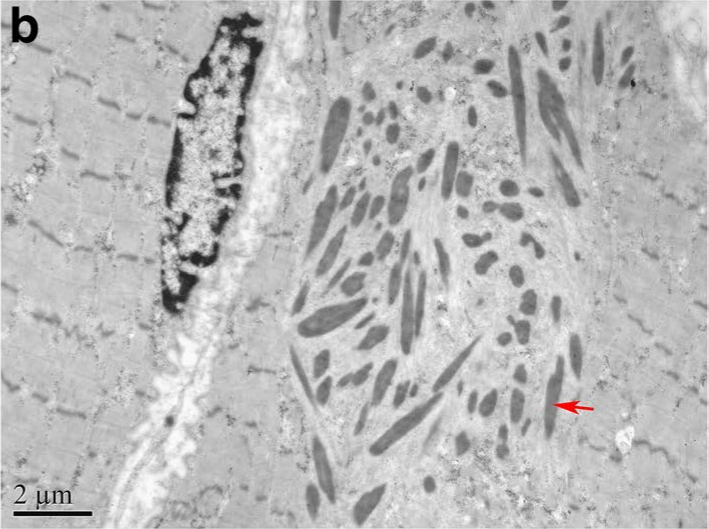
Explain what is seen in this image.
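Longitudinal view of skeletal muscle showing many dense rods among disorganized myofibrils. At left, myofibrils keep regular sarcomeres with thin dark cross-lines at repeating intervals. An elongated nucleus with dense peripheral chromatin lies near a pale band of interstitial space. To its right, a region filled with numerous dark oval, round and spindle-shaped bodies of varied size, oriented in different directions, replaces the regular banding; their density resembles that of the dark cross-lines. Filamentous material runs between them.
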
